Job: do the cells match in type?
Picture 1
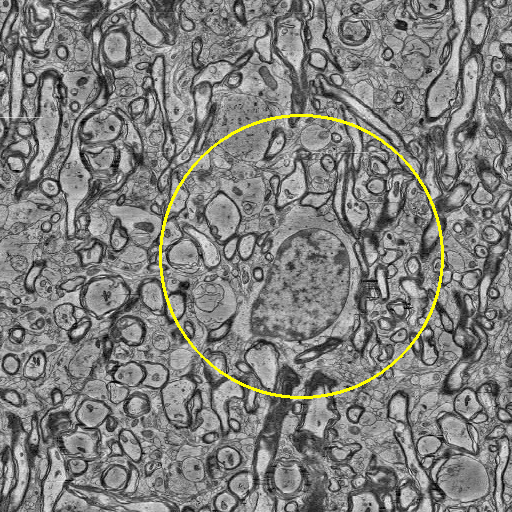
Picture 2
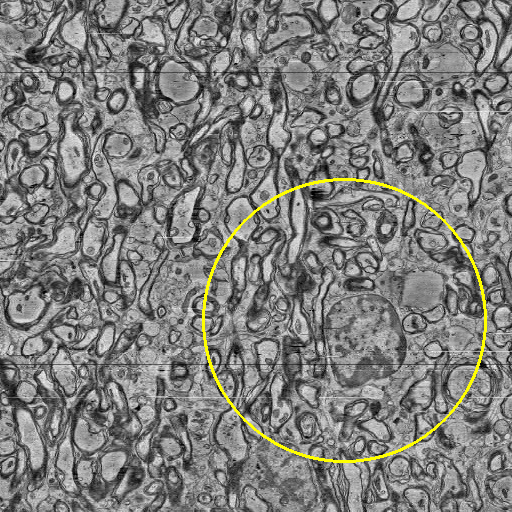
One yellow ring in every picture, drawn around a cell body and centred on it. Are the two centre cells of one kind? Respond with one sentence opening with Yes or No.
Yes, the ringed cells in the two pictures are of one and the same kind.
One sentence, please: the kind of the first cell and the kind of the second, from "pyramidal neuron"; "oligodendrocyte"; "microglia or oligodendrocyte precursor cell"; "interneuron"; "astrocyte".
The cell in the first picture is a microglial cell or oligodendrocyte precursor cell, and so is the one in the second.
